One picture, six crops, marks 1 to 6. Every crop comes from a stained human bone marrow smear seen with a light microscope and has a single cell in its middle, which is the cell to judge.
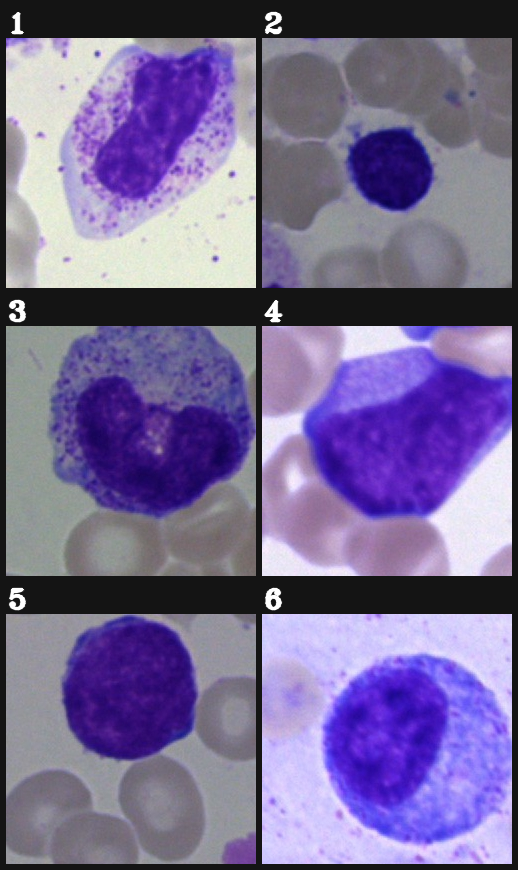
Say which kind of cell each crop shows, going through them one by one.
1: metamyelocyte
2: lymphocyte
3: metamyelocyte
4: blast
5: blast
6: promyelocyte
